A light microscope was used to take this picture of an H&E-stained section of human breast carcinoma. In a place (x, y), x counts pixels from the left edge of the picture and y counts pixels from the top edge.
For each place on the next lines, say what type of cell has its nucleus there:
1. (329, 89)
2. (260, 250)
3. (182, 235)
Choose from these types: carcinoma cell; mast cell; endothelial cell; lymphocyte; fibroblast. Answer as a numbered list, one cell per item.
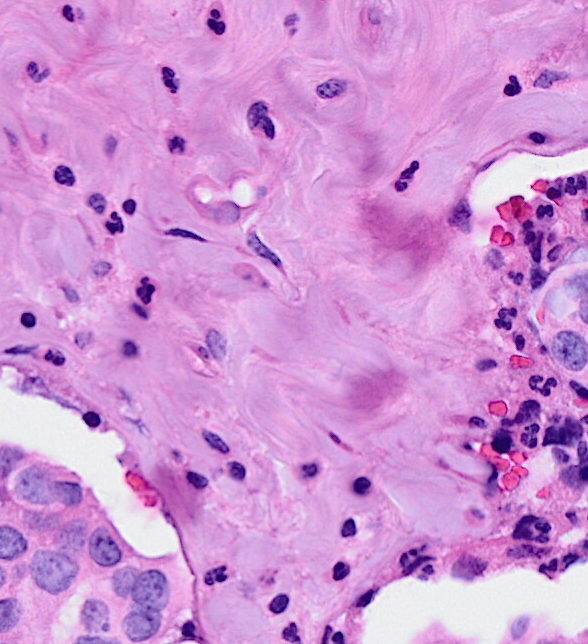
1. mast cell
2. fibroblast
3. fibroblast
